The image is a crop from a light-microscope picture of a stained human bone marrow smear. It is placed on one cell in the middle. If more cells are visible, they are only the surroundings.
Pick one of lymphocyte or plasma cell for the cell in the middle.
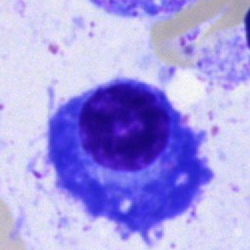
plasma cell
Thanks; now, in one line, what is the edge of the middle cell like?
Irregular and not smooth, the cell boundary is ragged or drawn out into projections.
